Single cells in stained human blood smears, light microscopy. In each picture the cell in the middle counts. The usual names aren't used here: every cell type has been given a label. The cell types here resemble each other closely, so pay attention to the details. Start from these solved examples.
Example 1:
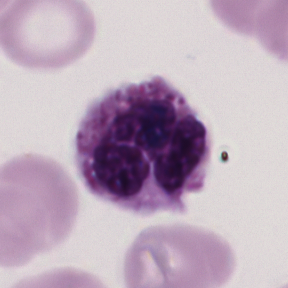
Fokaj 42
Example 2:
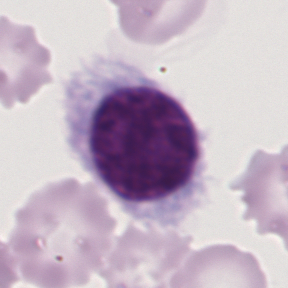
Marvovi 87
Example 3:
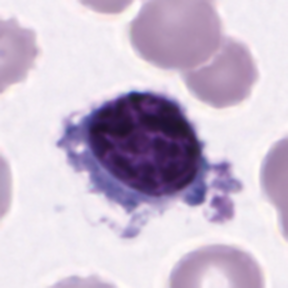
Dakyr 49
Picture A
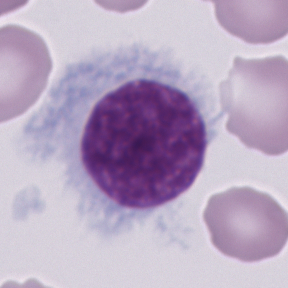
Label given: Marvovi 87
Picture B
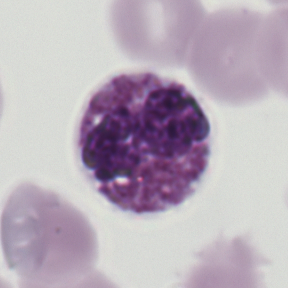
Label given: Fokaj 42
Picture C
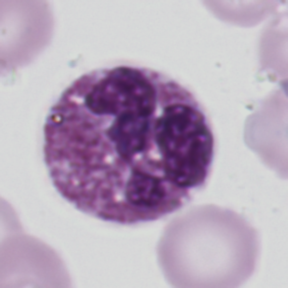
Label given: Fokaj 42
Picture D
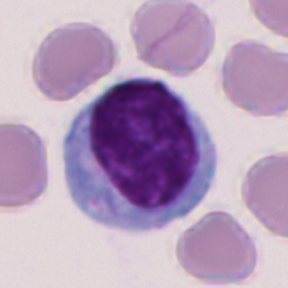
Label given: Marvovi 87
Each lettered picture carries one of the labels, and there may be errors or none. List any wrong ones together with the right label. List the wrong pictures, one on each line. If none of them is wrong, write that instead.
Wrong: D (Marvovi 87); correct: Dakyr 49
